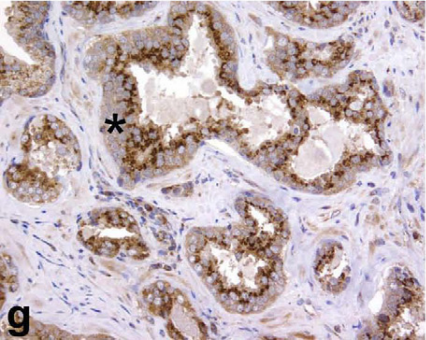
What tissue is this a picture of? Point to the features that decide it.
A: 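Glands with folded, papillary lumina lie in fibromuscular stroma. Glandular epithelium shows brown dot-like staining. Some lumina contain pink secretions. That points to this answer: prostate.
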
